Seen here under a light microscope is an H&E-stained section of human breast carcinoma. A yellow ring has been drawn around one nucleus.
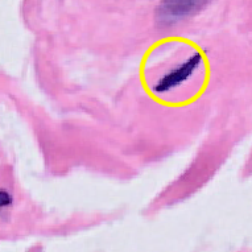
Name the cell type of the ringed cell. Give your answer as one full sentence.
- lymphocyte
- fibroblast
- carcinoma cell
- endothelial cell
As far as its identity is concerned, the ringed cell is a fibroblast.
